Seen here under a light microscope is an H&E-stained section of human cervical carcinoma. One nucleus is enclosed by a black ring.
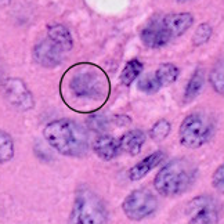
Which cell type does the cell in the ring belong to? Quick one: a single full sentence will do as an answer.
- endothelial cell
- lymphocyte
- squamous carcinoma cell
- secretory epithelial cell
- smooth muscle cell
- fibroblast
In terms of identity, the cell in the ring is a squamous carcinoma cell.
